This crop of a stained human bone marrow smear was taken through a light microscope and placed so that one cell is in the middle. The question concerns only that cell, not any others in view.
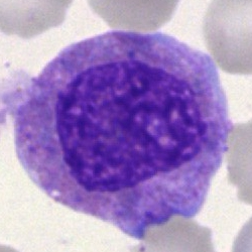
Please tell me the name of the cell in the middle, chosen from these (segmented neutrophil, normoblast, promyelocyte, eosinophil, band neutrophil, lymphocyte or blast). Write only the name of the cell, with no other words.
eosinophil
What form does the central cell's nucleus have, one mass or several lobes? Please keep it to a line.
If you check the nucleus, you will find one compact mass, round, oval or kidney-shaped.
